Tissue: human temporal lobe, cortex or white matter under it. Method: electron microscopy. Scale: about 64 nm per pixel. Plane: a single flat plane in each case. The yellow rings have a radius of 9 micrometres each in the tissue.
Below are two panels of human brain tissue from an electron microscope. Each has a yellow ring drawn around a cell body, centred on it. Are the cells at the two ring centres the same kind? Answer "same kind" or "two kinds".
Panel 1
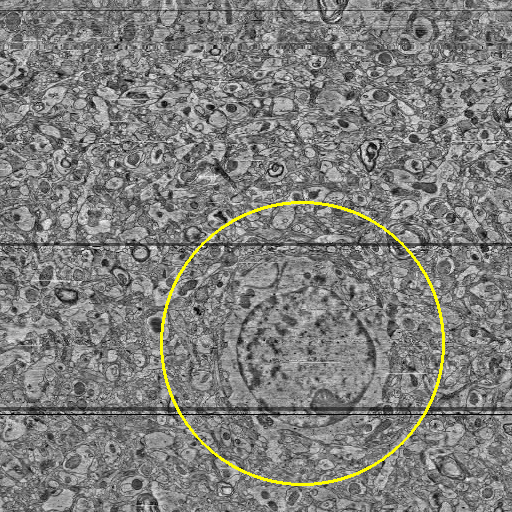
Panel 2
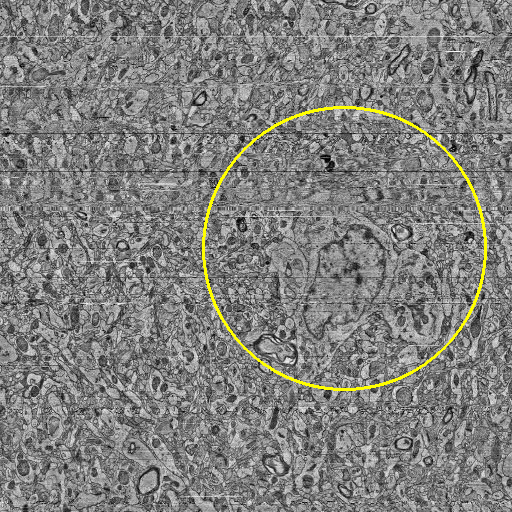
two kinds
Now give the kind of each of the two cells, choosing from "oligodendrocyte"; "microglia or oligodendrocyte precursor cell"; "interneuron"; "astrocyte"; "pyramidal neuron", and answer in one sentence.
The cell in the first picture is an astrocyte, and the cell in the second is an interneuron.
